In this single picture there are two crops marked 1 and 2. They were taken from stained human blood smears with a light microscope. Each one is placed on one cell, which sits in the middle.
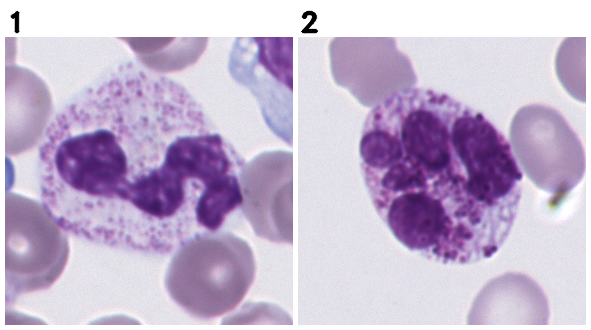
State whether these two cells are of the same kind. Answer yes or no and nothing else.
no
